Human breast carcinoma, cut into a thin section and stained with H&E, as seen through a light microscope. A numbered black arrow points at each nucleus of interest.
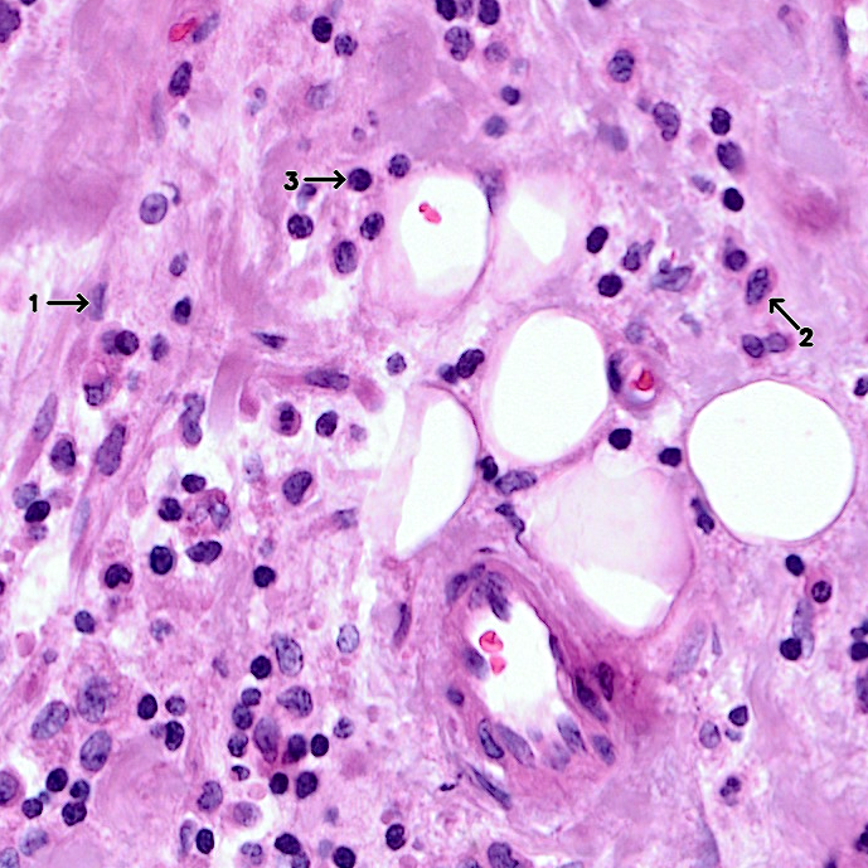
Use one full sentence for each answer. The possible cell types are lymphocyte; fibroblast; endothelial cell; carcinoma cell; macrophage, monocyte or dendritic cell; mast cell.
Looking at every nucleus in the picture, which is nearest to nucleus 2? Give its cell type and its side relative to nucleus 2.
The closest nucleus belongs to a macrophage, monocyte or dendritic cell and sits above and to the left of nucleus 2.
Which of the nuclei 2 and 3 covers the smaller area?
Number 3 is smaller, since number 2 takes up about 1.5 times as much area.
